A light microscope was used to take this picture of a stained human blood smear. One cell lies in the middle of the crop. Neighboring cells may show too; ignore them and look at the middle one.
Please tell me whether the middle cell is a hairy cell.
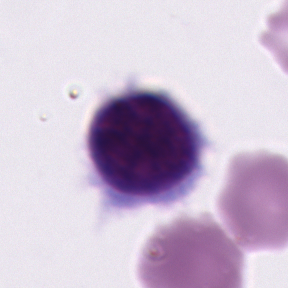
yes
